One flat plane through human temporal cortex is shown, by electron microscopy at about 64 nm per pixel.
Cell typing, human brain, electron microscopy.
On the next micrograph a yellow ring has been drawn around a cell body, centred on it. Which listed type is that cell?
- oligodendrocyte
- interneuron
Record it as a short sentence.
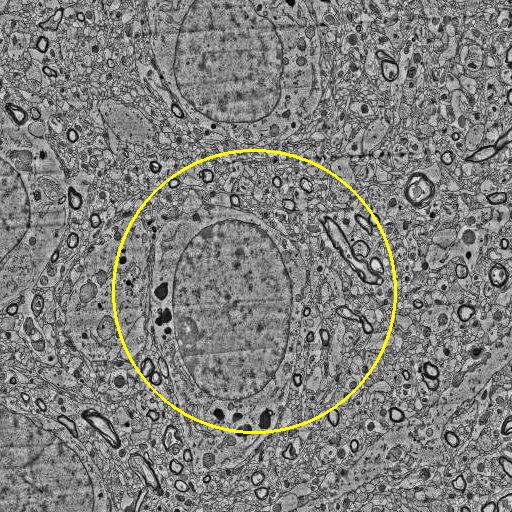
The cell body in the ring's centre belongs to an interneuron.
